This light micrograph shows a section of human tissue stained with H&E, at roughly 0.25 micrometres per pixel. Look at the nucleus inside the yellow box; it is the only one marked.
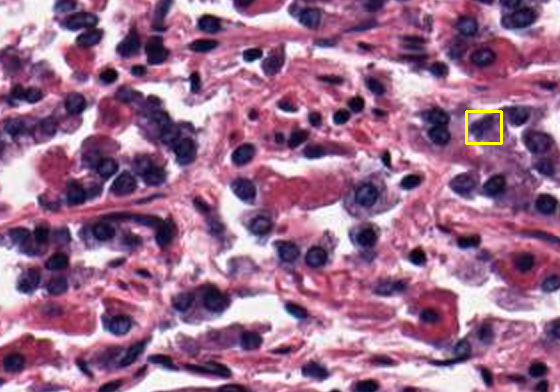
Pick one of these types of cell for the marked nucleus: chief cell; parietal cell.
chief cell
